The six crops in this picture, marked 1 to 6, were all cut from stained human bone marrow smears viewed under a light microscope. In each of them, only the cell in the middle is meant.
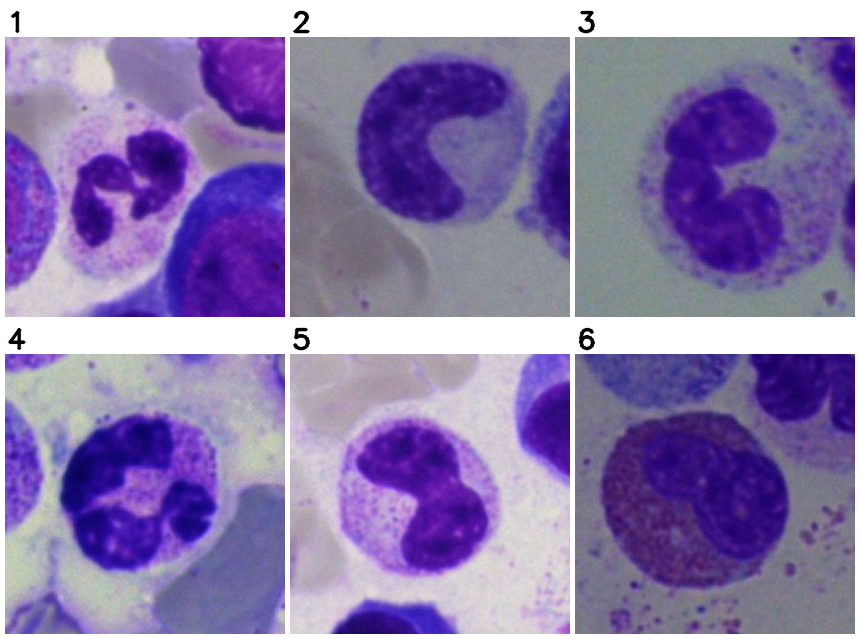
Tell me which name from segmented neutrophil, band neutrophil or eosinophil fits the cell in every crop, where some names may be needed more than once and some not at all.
1: segmented neutrophil
2: band neutrophil
3: segmented neutrophil
4: segmented neutrophil
5: band neutrophil
6: eosinophil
